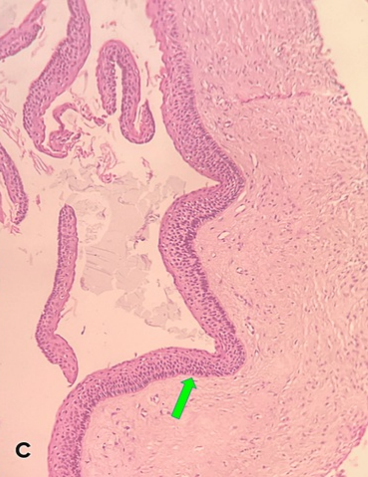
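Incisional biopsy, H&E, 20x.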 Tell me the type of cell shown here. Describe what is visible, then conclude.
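Palisaded basal cells. The deepest layer of the epithelium has a row of closely set, dark-staining nuclei along the connective tissue.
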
